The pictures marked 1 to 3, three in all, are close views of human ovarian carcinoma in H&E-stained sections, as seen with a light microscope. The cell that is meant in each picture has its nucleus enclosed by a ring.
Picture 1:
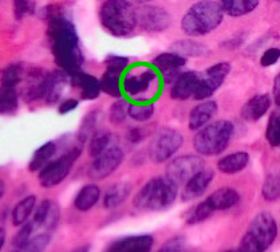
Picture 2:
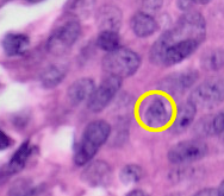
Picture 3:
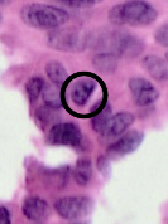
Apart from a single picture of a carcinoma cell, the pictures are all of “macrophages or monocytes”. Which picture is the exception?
1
